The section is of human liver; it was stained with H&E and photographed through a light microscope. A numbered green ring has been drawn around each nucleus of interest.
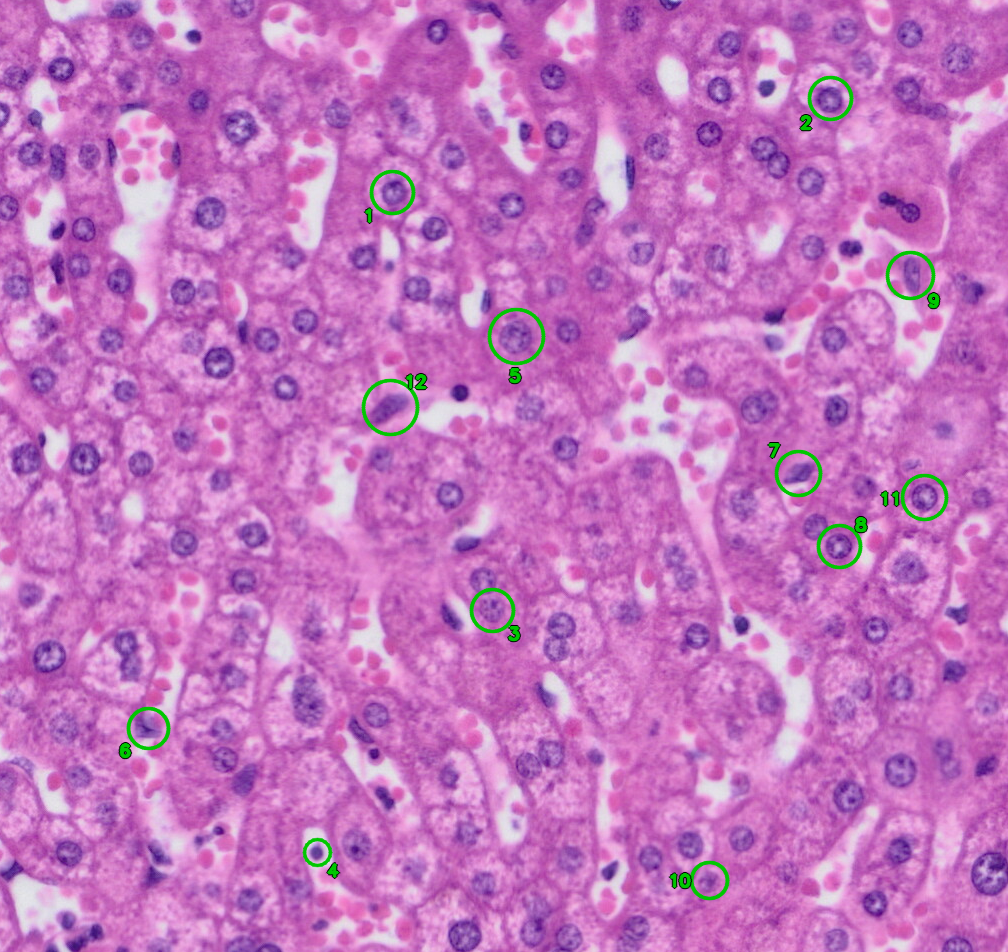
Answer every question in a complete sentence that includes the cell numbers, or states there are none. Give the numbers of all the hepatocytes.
The identity of cells 1, 2, 3, 5, 8, 10 and 11: they are hepatocytes.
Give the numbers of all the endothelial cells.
The cells marked by the numbers 6 and 7 are endothelial cells.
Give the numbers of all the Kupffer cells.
Within this tissue, the cells numbered 9 and 12 are Kupffer cells.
